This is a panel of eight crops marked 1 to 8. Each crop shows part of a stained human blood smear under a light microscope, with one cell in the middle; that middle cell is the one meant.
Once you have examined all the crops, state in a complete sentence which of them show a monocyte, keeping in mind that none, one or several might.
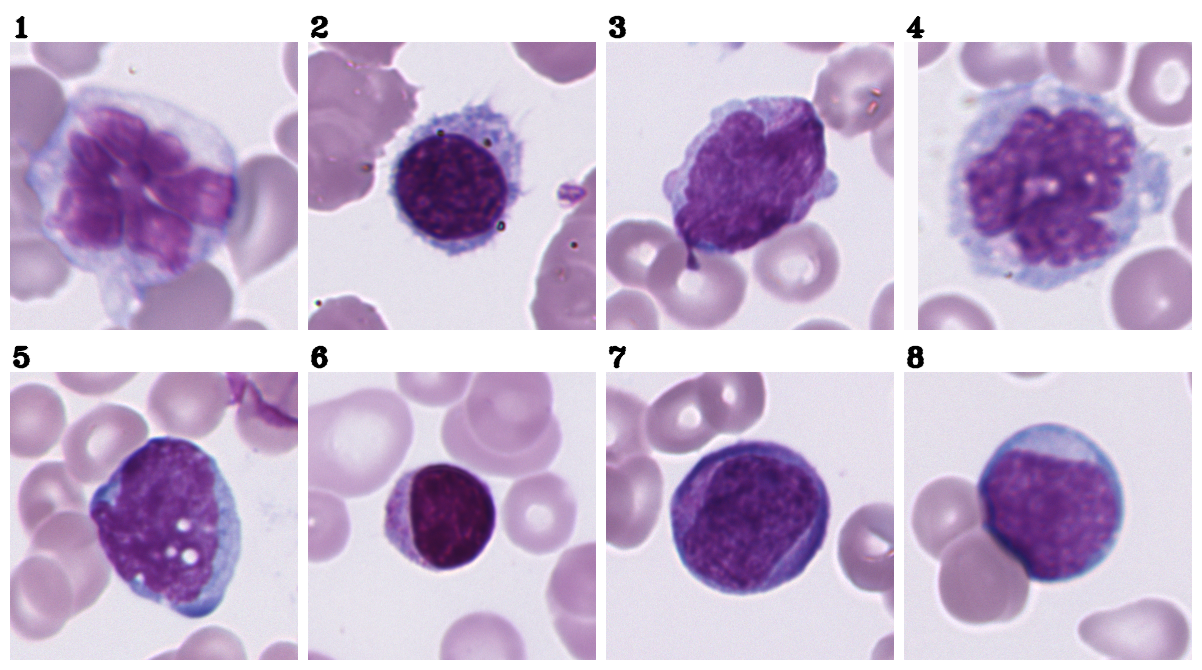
Crops 1, 4 and 5 are identified as showing monocytes.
